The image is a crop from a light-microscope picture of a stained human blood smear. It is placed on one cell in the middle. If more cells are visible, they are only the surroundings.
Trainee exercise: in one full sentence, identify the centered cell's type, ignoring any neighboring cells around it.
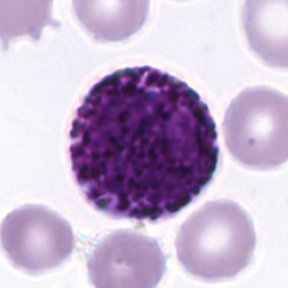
The cell at the middle of the frame should be recorded as a basophil.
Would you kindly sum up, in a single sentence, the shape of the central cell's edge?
Its periphery is smooth, and no projections arise from it.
